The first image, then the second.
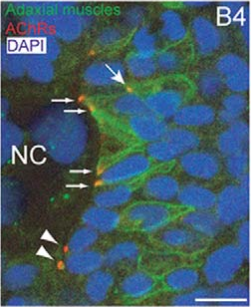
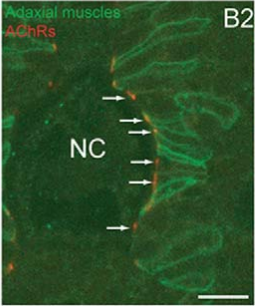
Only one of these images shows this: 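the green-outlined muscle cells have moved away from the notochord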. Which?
the first image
